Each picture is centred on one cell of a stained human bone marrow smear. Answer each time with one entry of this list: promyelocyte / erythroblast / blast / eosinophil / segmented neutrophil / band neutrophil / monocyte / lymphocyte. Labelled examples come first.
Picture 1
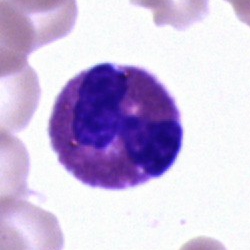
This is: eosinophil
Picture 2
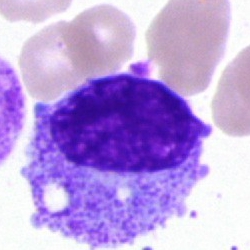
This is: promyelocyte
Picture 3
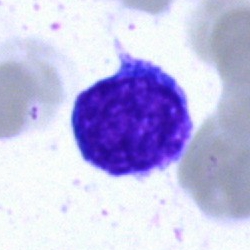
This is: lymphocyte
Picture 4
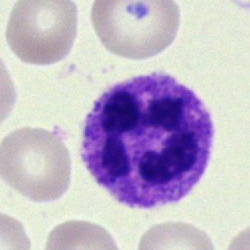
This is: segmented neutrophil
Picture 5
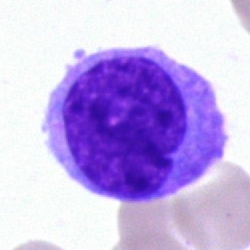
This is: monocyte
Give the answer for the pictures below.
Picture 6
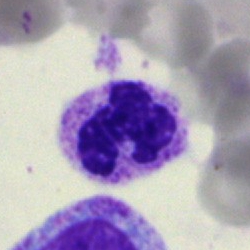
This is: segmented neutrophil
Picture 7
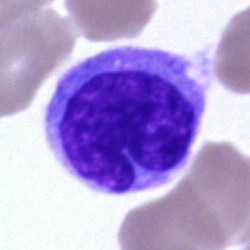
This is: monocyte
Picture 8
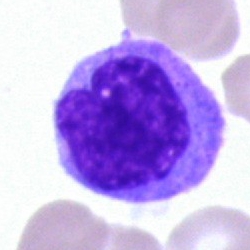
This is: monocyte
